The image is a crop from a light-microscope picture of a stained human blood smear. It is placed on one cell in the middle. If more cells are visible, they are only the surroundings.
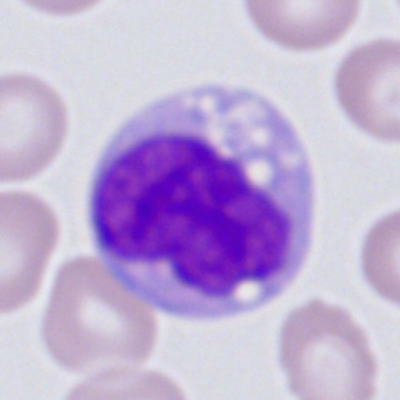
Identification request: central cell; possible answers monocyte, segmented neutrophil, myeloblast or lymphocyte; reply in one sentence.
The cell marked by its central position in the crop is a monocyte.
